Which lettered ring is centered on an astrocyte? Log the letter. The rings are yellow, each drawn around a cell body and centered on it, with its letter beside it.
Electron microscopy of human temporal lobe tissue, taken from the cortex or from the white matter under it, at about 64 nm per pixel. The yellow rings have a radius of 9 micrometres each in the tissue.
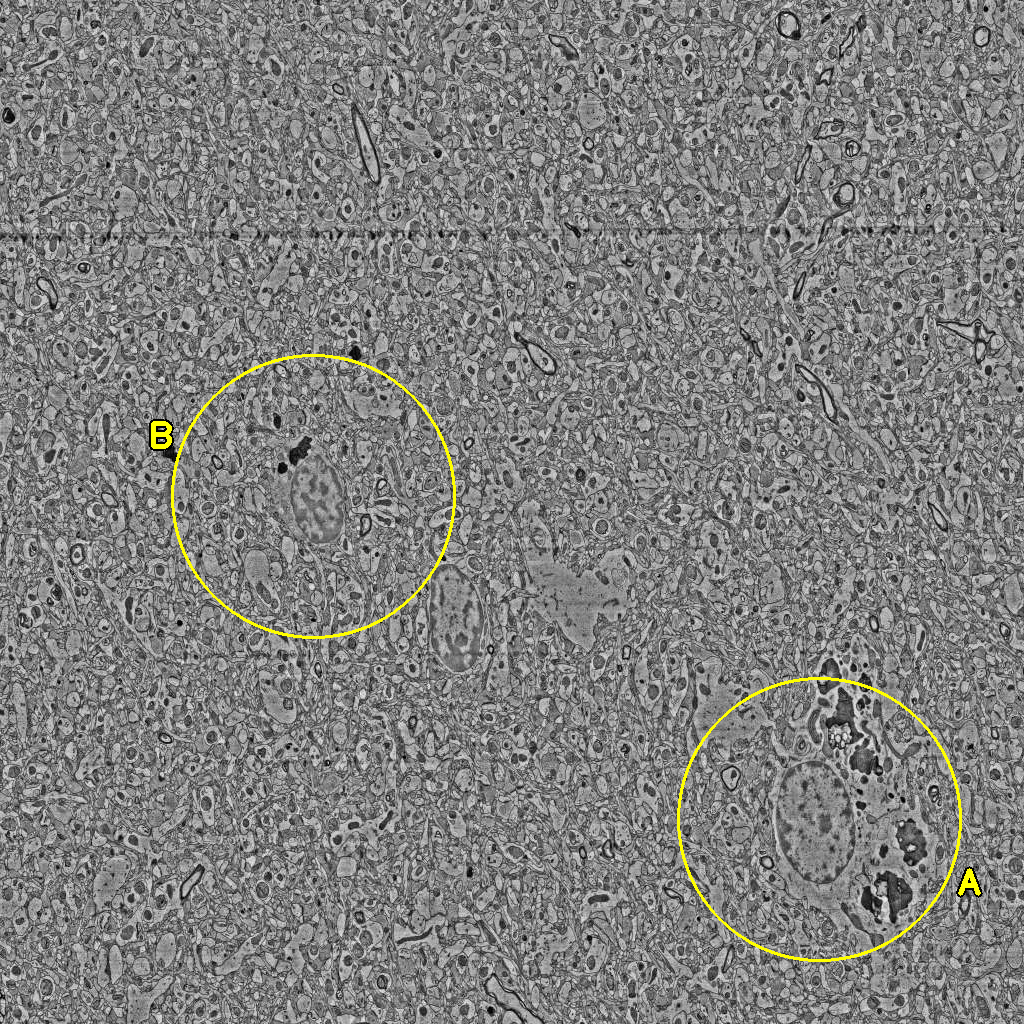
A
